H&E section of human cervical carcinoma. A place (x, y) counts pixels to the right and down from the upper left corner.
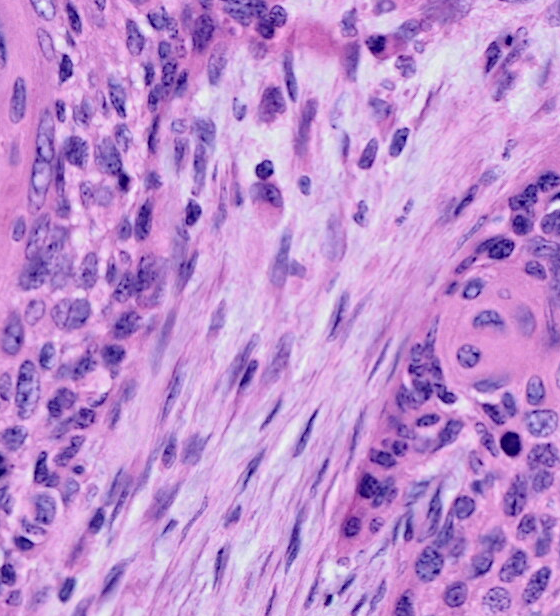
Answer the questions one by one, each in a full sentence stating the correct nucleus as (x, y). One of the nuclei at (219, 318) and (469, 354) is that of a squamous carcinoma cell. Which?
The nucleus at position (469, 354) belongs to a squamous carcinoma cell.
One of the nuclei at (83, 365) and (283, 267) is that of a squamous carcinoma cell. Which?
So, of the two, the nucleus at (83, 365) is the one belonging to a squamous carcinoma cell.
